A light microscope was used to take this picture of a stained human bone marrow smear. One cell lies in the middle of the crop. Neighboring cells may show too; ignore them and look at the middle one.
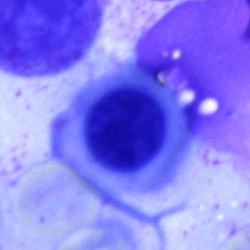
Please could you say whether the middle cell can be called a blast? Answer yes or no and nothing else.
no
